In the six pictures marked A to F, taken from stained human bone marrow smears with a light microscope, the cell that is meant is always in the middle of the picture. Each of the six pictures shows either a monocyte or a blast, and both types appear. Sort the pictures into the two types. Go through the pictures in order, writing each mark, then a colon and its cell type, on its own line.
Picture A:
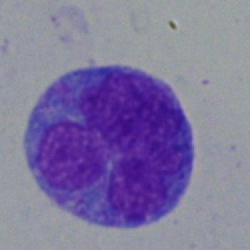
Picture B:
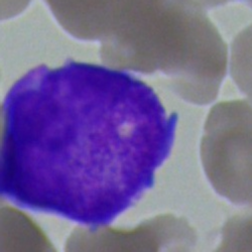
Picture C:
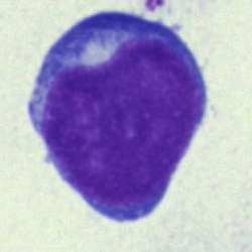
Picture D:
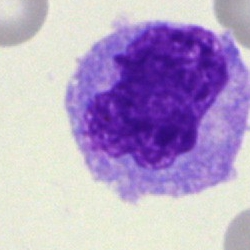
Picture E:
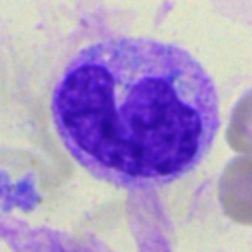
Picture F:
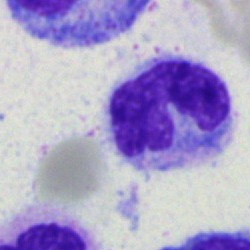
A: monocyte
B: blast
C: blast
D: monocyte
E: monocyte
F: monocyte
